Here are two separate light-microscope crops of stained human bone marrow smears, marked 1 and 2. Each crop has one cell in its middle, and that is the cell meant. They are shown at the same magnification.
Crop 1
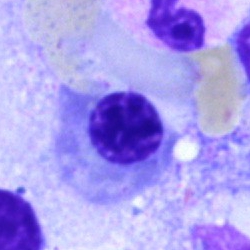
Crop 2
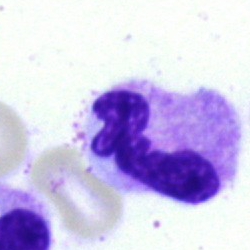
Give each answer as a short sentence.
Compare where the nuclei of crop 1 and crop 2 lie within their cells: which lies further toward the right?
It is the nucleus in crop 1 that lies further toward the right of its cell.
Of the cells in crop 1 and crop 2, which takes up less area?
Crop 1 holds the smaller cell, since the cell in crop 2 covers about 1.5 times as much area.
